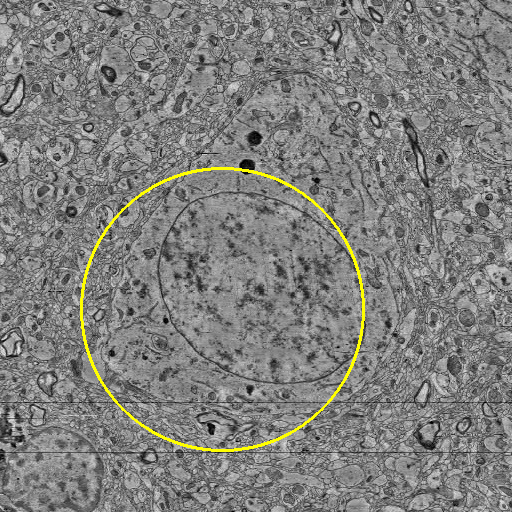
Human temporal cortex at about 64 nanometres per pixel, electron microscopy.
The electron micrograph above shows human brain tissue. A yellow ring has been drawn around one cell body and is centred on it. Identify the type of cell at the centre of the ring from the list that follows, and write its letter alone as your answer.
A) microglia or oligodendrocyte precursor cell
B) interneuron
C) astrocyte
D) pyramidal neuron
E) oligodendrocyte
D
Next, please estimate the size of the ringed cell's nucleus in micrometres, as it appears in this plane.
The nucleus comes to roughly 15 by 12 micrometres in this plane.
